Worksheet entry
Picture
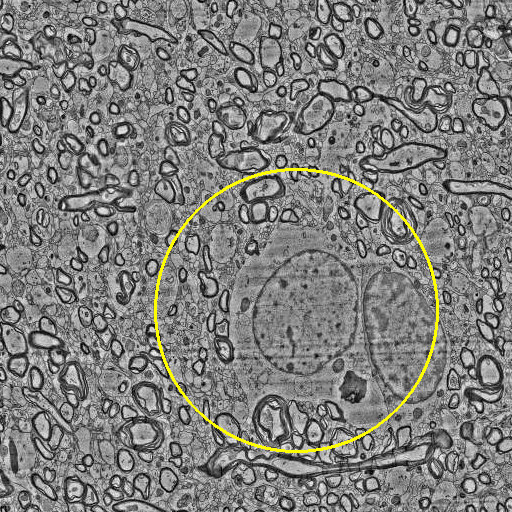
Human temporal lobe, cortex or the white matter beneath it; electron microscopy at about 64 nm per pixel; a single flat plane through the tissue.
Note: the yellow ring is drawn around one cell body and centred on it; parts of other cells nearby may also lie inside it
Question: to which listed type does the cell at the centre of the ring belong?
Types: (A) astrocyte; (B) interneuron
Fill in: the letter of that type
A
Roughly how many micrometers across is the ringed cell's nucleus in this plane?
Roughly 8 micrometres by 7 micrometres, in this plane.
